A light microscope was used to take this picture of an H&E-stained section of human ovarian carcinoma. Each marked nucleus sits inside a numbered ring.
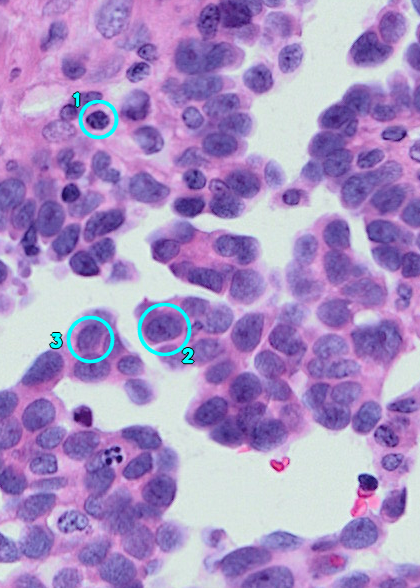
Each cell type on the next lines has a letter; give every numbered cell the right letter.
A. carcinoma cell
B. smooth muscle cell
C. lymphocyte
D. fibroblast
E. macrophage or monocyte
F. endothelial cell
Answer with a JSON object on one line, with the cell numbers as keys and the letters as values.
{"1": "C", "2": "A", "3": "A"}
